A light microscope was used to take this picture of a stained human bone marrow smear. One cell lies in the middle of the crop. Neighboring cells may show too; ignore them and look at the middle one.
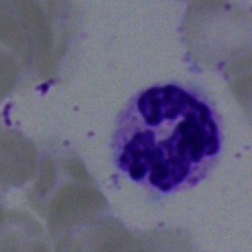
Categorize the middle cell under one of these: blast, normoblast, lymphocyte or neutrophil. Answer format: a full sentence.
As for the central cell, it is a neutrophil.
